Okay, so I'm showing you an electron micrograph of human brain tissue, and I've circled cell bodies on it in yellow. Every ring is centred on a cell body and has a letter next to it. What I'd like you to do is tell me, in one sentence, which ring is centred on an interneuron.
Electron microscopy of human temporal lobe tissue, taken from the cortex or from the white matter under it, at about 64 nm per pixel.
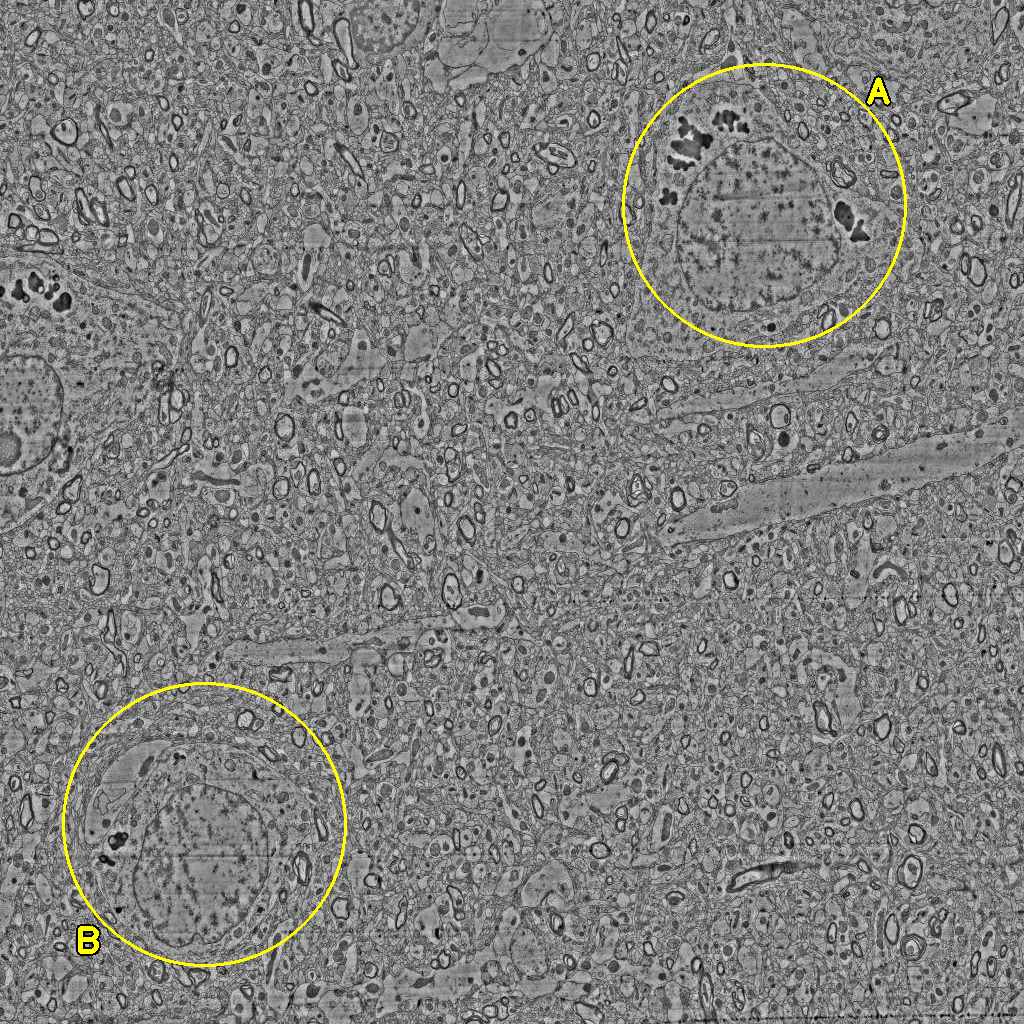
It's ring A.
